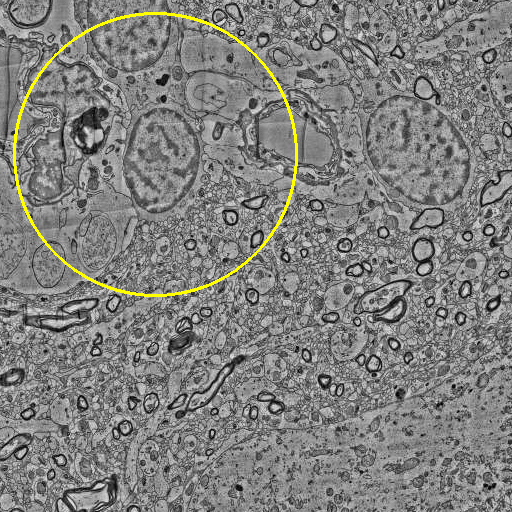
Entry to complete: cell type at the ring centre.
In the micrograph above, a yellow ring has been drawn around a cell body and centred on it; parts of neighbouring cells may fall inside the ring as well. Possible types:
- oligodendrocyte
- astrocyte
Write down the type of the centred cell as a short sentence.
The ring is centred on an oligodendrocyte.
